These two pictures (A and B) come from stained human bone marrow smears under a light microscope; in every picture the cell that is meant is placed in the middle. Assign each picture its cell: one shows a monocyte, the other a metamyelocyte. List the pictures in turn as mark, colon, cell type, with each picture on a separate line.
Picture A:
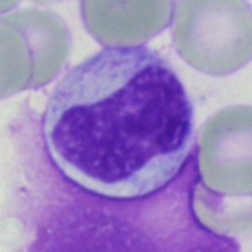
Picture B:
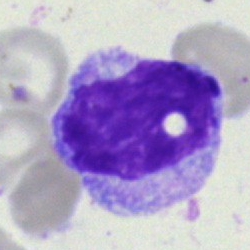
A: metamyelocyte
B: monocyte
